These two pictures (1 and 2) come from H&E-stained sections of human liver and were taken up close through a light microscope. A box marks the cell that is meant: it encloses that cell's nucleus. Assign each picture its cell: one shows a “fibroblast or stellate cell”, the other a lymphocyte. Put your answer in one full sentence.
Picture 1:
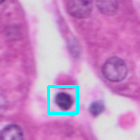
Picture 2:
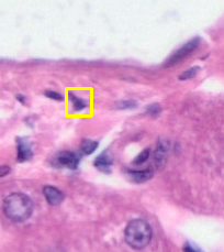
In picture 1 the cell is a lymphocyte; in picture 2, a “fibroblast or stellate cell”.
